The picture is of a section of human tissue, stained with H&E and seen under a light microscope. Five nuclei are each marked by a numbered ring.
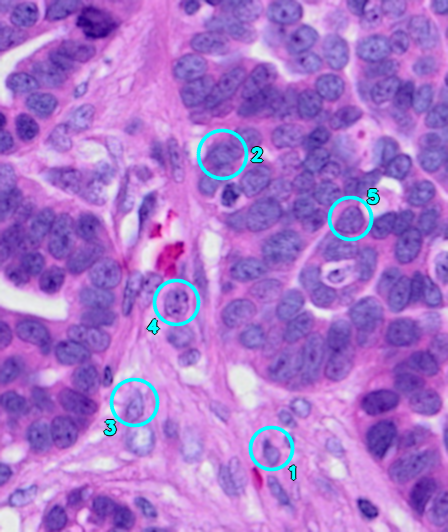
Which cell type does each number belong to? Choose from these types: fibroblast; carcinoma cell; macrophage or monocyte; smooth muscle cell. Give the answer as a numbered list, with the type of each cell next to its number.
1. fibroblast
2. carcinoma cell
3. fibroblast
4. macrophage or monocyte
5. carcinoma cell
